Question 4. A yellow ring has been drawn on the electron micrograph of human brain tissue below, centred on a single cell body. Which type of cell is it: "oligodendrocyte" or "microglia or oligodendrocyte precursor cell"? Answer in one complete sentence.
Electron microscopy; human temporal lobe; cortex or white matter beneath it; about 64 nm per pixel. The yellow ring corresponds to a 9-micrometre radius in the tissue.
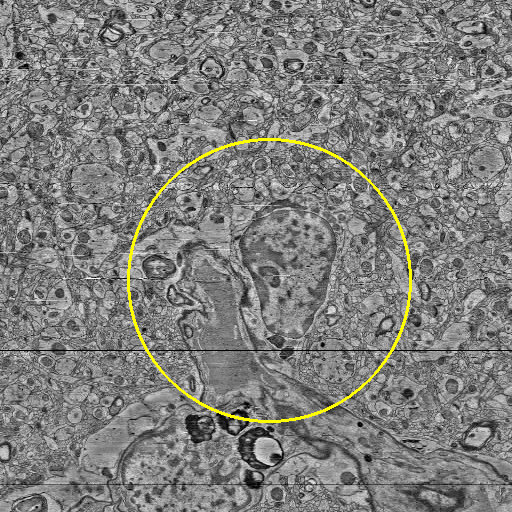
This cell body belongs to a microglial cell or oligodendrocyte precursor cell.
